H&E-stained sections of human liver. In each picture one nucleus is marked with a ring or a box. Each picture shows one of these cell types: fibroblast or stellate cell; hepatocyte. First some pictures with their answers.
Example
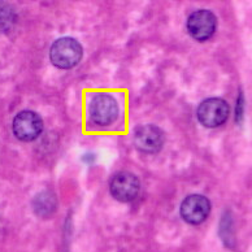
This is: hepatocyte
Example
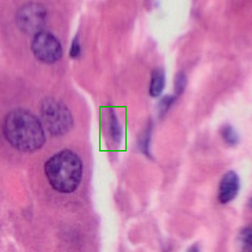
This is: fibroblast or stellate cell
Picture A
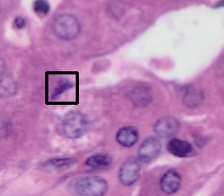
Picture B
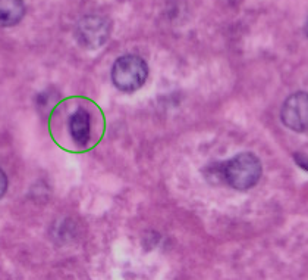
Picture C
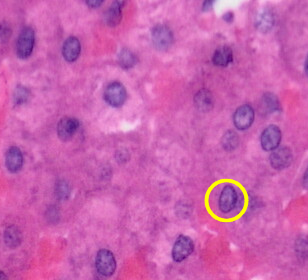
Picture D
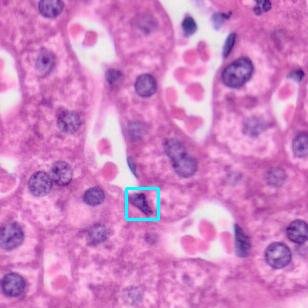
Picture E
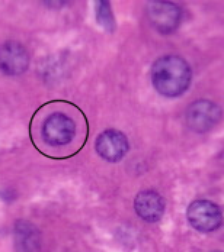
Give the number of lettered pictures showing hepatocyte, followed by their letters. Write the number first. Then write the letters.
2, namely C, E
